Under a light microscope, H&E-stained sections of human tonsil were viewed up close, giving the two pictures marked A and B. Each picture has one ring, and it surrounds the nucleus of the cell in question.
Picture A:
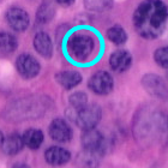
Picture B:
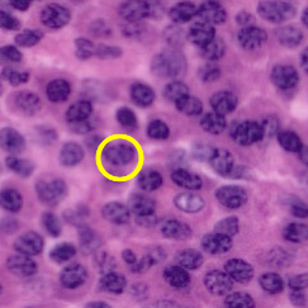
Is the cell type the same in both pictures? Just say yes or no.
yes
